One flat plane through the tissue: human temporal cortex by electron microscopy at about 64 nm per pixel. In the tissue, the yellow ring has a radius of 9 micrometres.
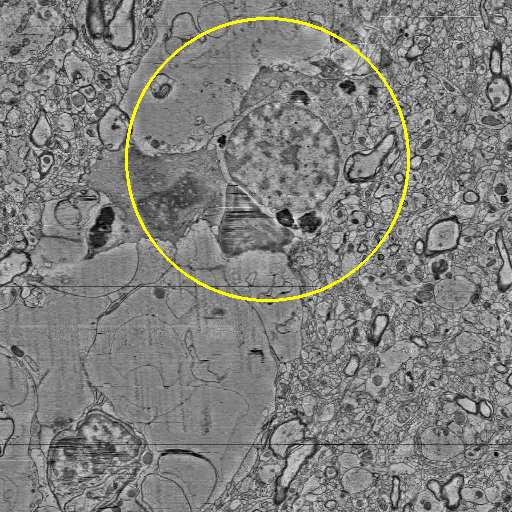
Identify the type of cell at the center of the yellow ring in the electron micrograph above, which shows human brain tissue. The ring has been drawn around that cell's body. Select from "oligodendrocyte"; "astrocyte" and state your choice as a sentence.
The yellow ring is centered on the body of an oligodendrocyte.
